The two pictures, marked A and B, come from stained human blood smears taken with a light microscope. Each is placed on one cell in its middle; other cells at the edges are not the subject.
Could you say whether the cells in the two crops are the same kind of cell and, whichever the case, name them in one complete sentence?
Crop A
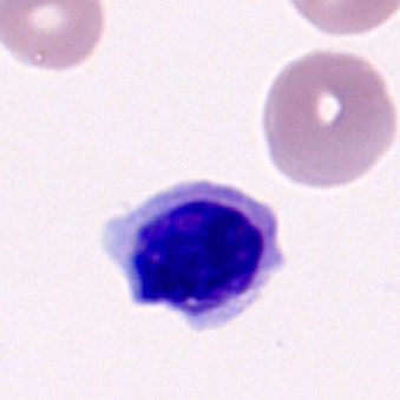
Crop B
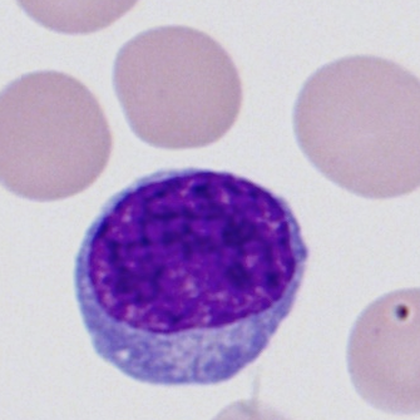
No, an erythroblast is in crop A, and a lymphocyte is in crop B.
